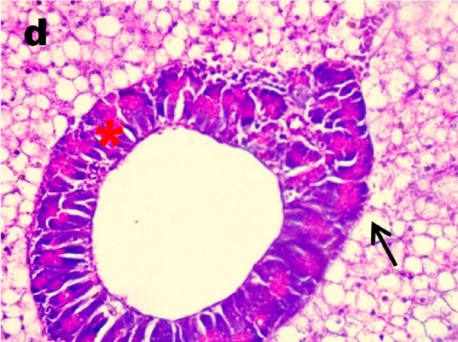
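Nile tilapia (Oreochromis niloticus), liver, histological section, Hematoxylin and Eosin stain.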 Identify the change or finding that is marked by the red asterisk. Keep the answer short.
Necrobiotic changes in hepatopancreas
